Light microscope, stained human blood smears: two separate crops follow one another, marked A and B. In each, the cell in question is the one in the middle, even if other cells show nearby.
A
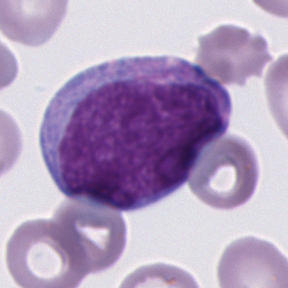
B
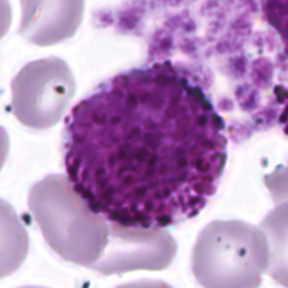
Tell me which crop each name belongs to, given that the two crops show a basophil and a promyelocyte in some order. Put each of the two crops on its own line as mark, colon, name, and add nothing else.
A: promyelocyte
B: basophil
